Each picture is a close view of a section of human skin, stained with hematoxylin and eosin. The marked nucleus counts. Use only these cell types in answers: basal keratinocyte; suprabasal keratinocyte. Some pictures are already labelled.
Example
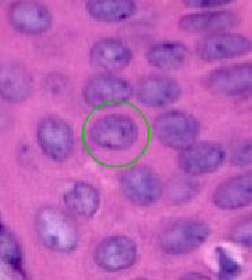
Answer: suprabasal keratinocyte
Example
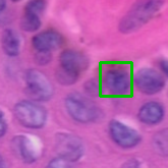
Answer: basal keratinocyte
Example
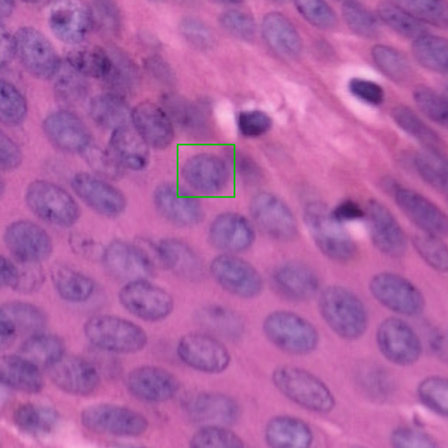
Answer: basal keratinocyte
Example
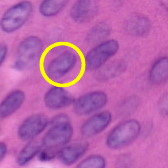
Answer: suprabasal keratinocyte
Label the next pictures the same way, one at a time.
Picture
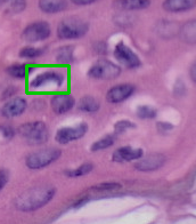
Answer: basal keratinocyte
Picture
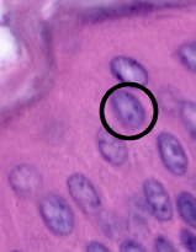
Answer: suprabasal keratinocyte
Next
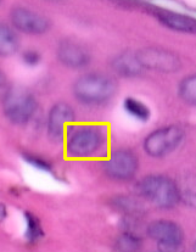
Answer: basal keratinocyte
